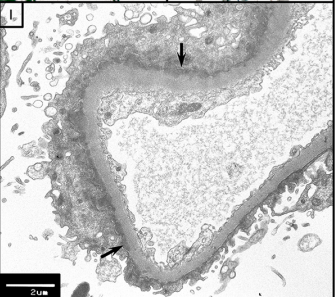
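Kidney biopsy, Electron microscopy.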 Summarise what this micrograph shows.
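This electron micrograph shows a glomerular capillary loop, with the pale lumen in the centre bounded by a grey band of basement membrane. The epithelial cell cytoplasm spreads as a flat continuous sheet over the membrane instead of forming separate small feet. Loose cell fragments and processes lie in the space outside the loop.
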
